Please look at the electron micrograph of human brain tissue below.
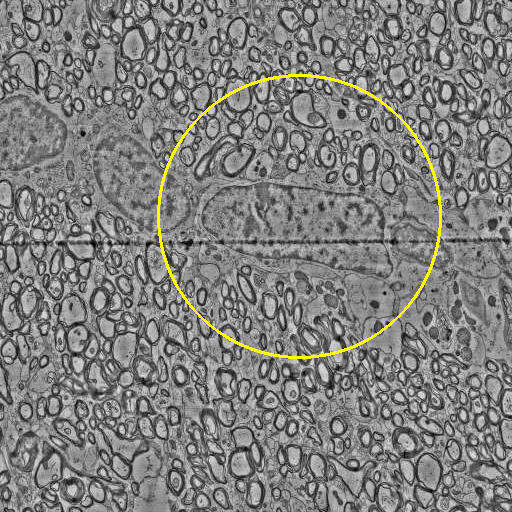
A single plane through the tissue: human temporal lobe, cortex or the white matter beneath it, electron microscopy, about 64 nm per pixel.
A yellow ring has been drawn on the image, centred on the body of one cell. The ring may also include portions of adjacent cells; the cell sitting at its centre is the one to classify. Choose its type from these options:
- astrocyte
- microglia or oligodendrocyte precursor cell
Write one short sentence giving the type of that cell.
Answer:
The cell in the middle of the ring is a microglial cell or oligodendrocyte precursor cell.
